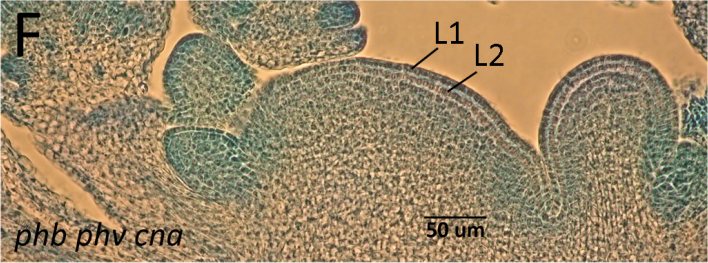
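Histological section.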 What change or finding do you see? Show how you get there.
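Two regular single-cell layers run parallel to the surface across the whole dome. Cells in the outer layers are aligned in neat rows.
Clear layering pattern.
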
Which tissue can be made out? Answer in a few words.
Inflorescence shoot apical meristems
